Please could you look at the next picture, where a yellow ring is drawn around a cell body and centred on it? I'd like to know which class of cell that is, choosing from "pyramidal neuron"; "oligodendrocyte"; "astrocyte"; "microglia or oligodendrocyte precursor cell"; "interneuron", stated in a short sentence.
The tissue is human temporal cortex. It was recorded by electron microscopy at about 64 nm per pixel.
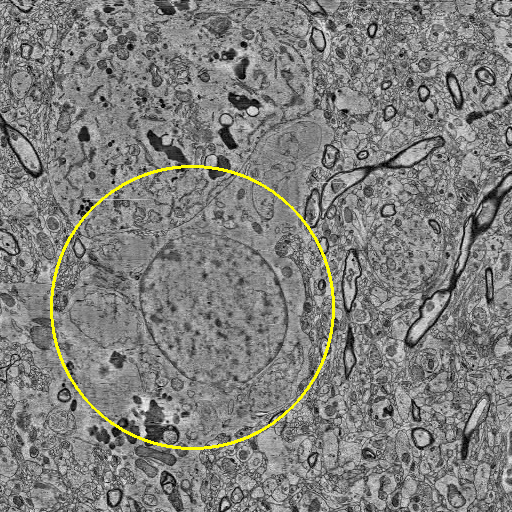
The ring's centre lies on an astrocyte.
